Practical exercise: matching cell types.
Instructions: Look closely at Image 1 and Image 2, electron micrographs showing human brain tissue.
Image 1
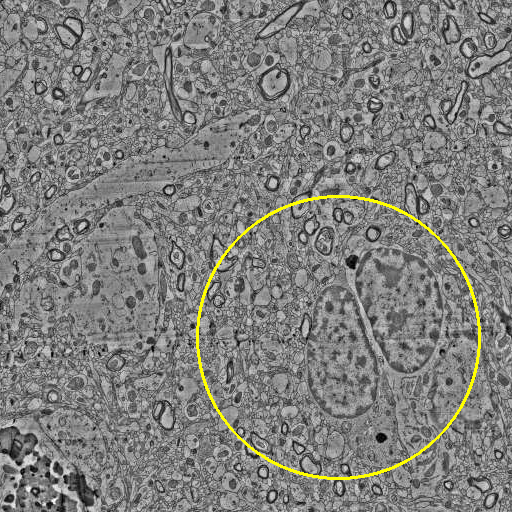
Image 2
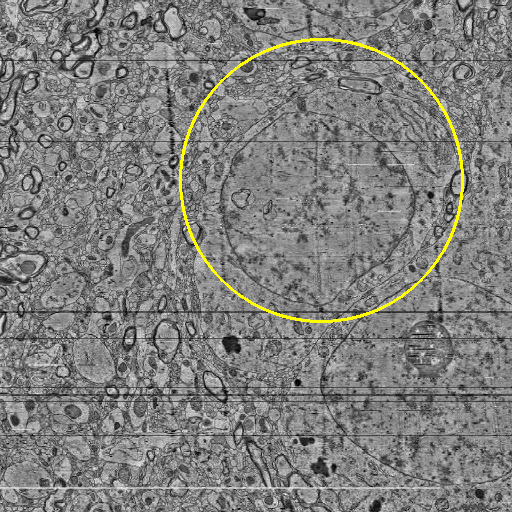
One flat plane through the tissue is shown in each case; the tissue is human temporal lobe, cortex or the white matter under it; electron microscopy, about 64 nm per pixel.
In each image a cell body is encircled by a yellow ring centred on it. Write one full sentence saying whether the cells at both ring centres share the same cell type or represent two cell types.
Across Image 1 and Image 2, the cells at the ring centres represent two cell types.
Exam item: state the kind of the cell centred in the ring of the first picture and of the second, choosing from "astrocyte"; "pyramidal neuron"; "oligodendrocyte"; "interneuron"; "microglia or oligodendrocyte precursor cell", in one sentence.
The first picture shows an oligodendrocyte at the ring centre and the second shows a pyramidal neuron.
